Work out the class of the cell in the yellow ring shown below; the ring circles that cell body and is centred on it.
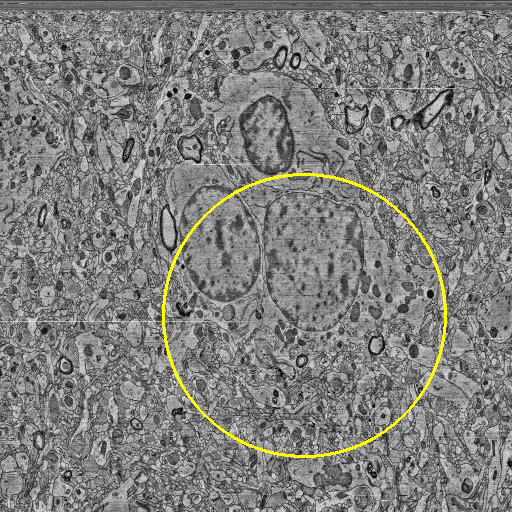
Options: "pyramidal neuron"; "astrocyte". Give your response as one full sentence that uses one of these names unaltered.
The body ringed in yellow, right at the ring's centre, is that of an astrocyte.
